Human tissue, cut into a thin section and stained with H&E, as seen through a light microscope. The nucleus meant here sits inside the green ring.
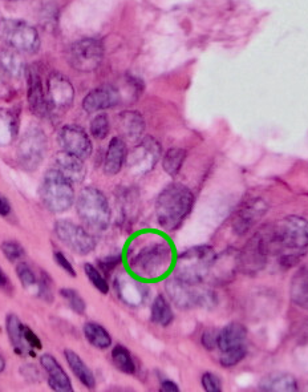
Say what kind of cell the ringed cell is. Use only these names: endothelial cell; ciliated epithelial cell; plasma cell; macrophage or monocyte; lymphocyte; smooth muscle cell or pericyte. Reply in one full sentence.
The cell meant here is a ciliated epithelial cell.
